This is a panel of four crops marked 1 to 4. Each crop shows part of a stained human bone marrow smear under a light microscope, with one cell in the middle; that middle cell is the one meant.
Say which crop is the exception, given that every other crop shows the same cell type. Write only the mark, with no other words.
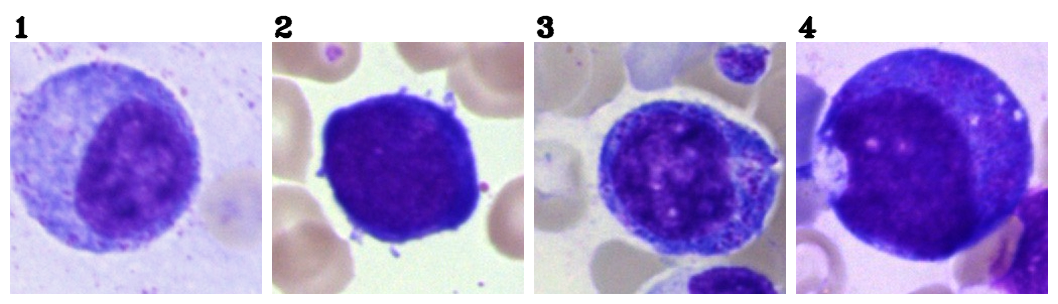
2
